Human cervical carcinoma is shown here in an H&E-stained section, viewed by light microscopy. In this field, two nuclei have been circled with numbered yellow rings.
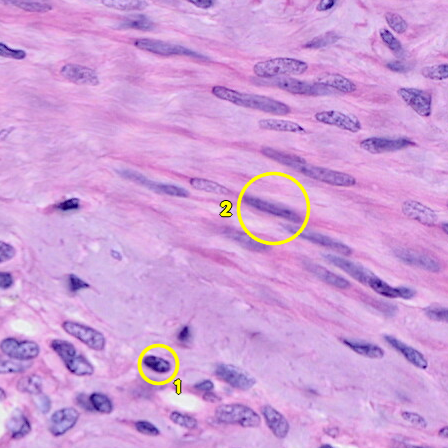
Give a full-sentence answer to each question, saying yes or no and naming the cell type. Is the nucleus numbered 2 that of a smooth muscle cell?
Yes, so the cell at label 2 is a smooth muscle cell.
